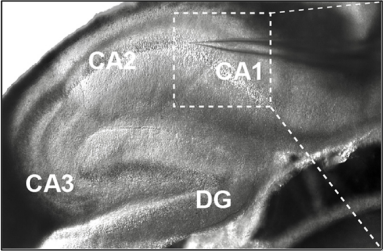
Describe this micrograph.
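This low-power view of a living slice shows the hippocampus, with its curved band of densely packed cell bodies running from one end to the other. An inner C-shaped band of small cells lies cupped within the curve of the larger band, and a glass pipette enters the tissue from the upper right.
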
